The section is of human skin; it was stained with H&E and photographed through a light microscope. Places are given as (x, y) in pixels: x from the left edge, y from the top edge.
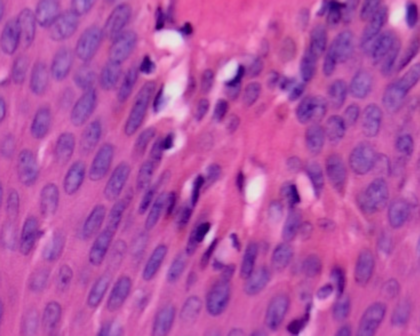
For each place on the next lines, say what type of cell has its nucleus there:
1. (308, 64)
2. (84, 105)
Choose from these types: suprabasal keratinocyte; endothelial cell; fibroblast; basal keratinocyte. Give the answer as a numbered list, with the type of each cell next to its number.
1. basal keratinocyte
2. suprabasal keratinocyte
